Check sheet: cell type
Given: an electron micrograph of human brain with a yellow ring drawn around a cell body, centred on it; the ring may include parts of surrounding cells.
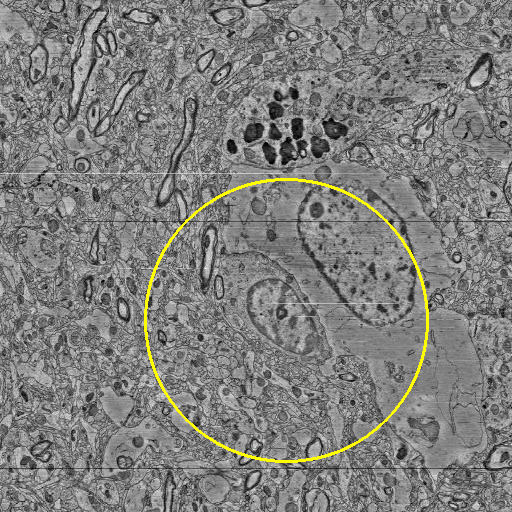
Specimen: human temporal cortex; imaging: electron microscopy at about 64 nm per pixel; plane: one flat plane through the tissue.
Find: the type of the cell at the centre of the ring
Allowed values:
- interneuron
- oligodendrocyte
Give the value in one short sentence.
Here the ringed cell is an oligodendrocyte.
